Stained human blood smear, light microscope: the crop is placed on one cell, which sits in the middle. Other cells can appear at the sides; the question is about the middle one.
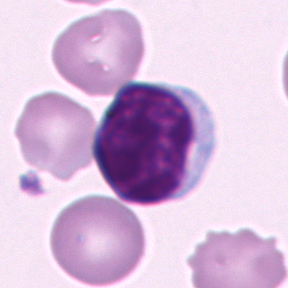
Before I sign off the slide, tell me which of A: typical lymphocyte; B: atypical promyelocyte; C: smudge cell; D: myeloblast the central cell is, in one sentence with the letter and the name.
The centered cell is a typical lymphocyte, which is why option A is right.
